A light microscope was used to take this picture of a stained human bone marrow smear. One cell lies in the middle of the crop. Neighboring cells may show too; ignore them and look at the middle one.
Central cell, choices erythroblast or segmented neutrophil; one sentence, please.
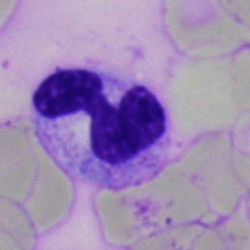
The central cell, amid any neighbouring cells, is a segmented neutrophil.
